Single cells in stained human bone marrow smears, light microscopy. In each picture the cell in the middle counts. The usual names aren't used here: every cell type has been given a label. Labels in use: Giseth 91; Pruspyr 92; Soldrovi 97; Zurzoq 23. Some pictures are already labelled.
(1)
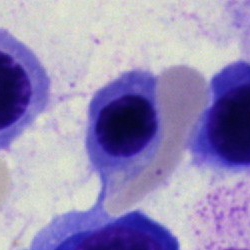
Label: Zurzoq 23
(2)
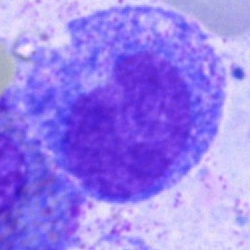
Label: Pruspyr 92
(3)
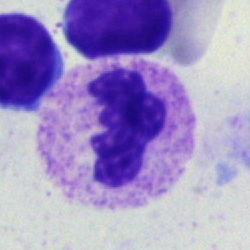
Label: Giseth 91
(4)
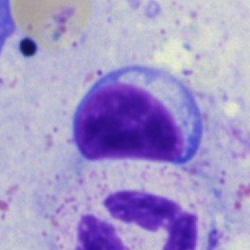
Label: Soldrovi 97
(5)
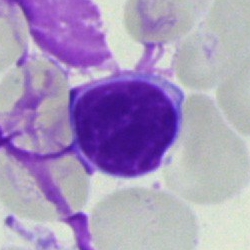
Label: Soldrovi 97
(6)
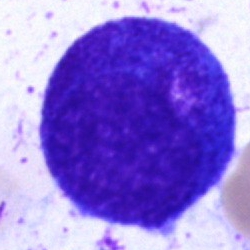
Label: Pruspyr 92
